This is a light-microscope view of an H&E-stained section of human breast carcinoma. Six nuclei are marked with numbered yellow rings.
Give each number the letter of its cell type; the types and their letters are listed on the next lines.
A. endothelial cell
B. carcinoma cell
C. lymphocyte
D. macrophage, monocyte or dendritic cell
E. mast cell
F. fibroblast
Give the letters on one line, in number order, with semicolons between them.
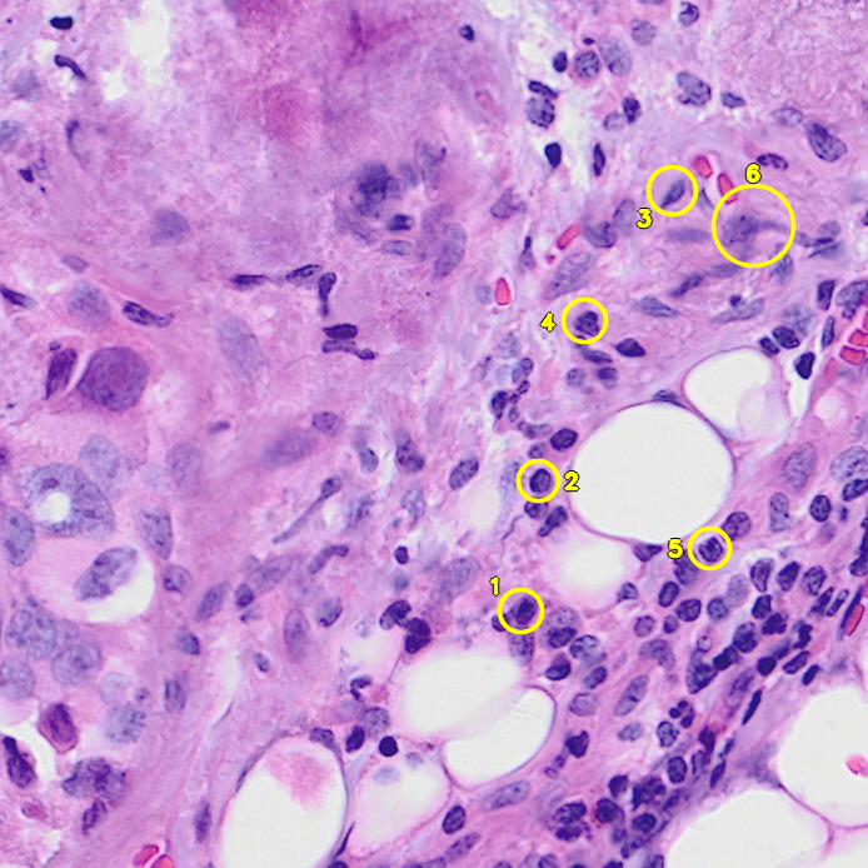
C; C; A; C; C; A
